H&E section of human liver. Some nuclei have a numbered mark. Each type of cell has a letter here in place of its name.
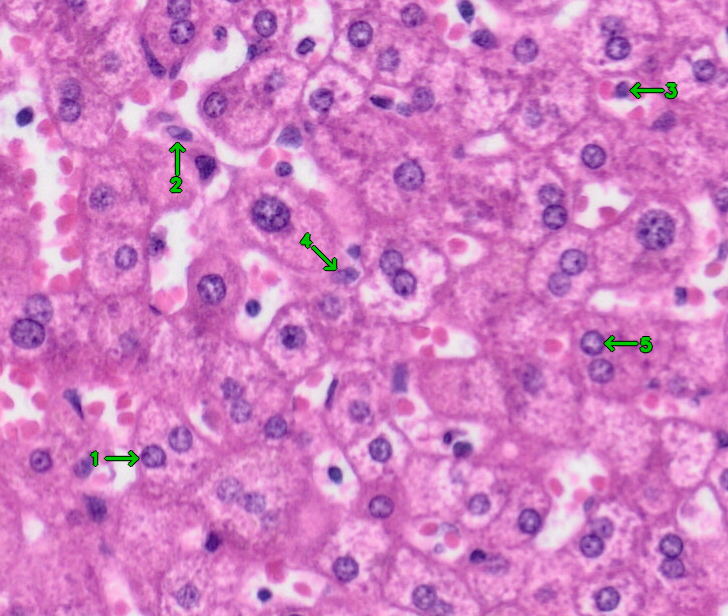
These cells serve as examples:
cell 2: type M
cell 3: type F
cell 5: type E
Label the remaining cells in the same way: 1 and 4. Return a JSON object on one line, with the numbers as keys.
{"1": "type E", "4": "type M"}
